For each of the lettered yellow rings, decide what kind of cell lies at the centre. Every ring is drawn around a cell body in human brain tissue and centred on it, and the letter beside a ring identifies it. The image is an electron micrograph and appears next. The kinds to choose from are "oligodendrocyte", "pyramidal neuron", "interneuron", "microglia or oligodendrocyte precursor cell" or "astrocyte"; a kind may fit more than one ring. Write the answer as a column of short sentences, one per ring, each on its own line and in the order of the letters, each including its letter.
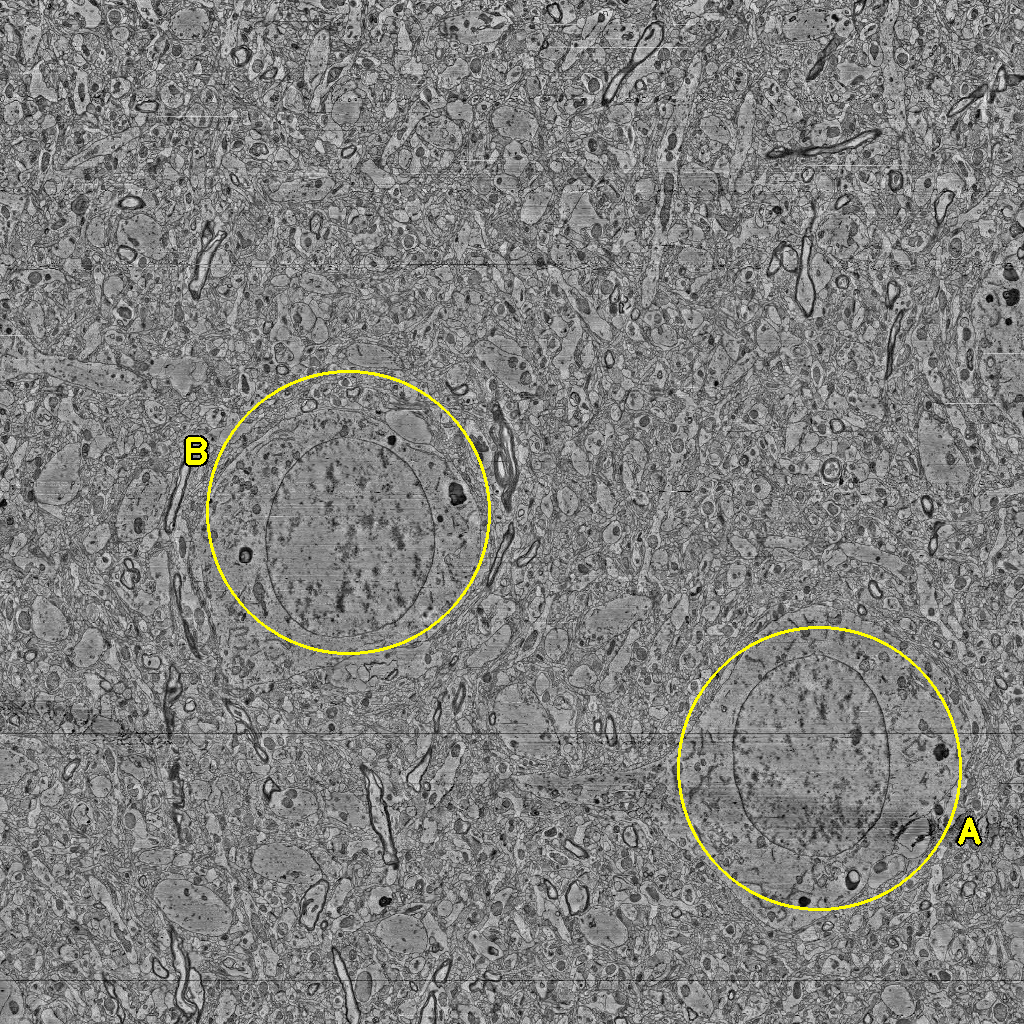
In the centre of ring A lies a pyramidal neuron.
In the centre of ring B lies a pyramidal neuron.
